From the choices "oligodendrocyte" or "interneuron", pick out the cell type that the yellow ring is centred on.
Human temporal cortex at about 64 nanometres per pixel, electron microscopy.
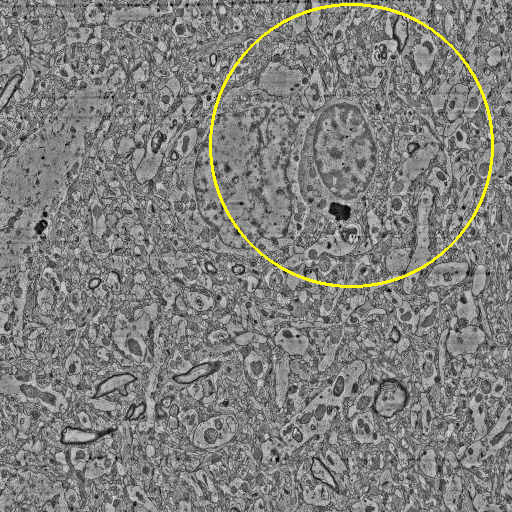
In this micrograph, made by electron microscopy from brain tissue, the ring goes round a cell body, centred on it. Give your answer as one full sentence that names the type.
The yellow ring is centred on an oligodendrocyte, whose cell body it encircles in the picture.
